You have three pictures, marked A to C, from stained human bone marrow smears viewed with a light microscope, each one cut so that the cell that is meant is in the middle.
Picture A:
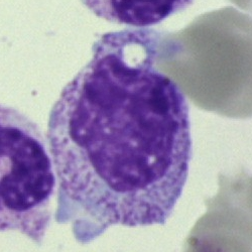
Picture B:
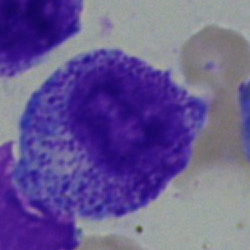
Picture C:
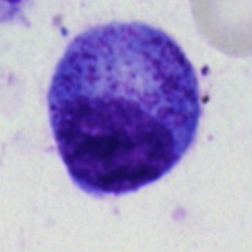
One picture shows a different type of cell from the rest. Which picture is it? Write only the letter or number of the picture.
C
